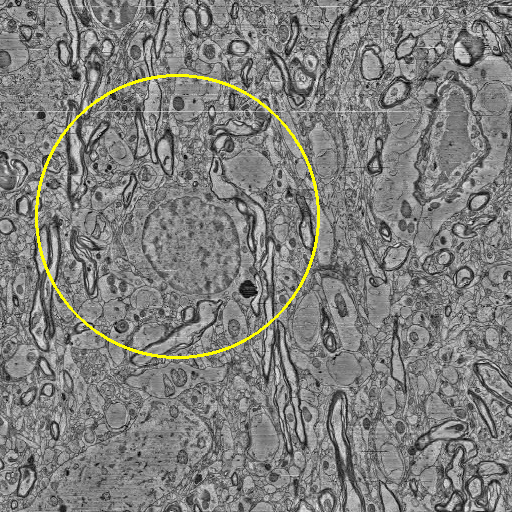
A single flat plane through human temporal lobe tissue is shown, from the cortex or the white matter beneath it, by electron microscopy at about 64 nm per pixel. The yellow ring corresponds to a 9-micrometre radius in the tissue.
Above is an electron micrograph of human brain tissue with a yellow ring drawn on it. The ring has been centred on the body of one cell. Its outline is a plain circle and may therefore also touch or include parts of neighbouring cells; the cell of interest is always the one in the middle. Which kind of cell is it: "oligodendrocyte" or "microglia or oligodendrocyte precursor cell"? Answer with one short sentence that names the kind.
The ring's central cell body is that of an oligodendrocyte.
